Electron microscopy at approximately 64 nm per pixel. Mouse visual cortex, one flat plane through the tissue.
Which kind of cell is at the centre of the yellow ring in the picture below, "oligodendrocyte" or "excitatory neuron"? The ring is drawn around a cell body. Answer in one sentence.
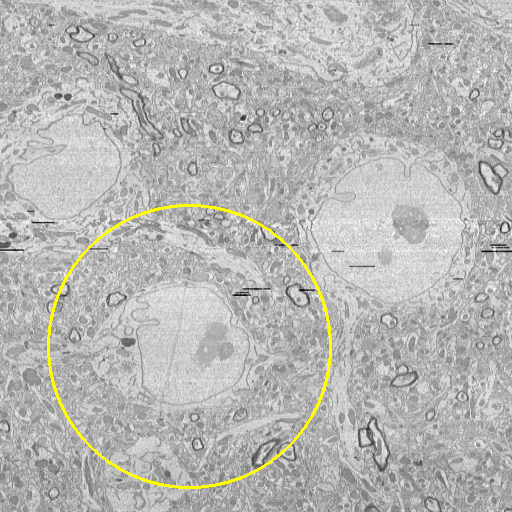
The ring's central cell is an excitatory neuron.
